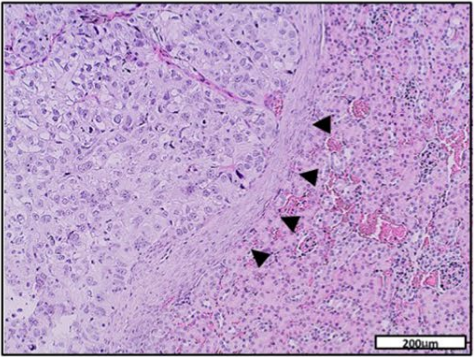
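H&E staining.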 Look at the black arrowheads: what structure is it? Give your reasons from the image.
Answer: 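A curved band of pale pink fibrous tissue with elongated nuclei. The band separates tumor cells on the left from renal tubules on the right.
Hence: fibrotic pseudocapsule.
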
